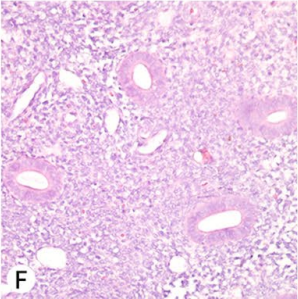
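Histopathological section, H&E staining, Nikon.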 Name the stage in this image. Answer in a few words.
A: Early proliferative phase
